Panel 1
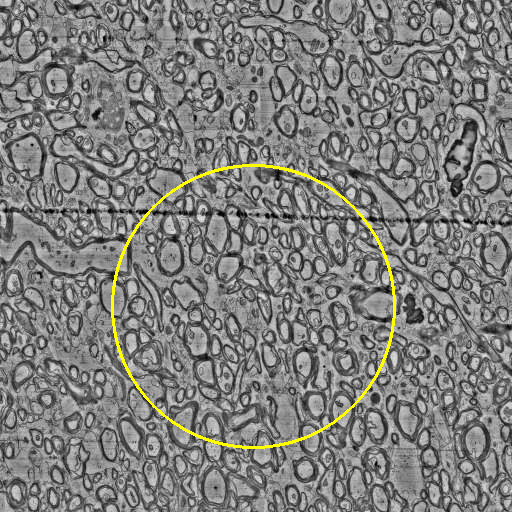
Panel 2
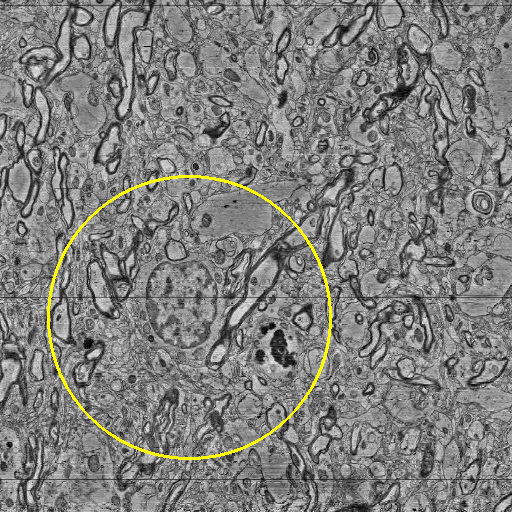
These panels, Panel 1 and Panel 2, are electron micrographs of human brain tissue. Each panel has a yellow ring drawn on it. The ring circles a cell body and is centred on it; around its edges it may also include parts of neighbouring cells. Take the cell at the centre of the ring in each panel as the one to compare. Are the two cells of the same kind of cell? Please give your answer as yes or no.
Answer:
no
